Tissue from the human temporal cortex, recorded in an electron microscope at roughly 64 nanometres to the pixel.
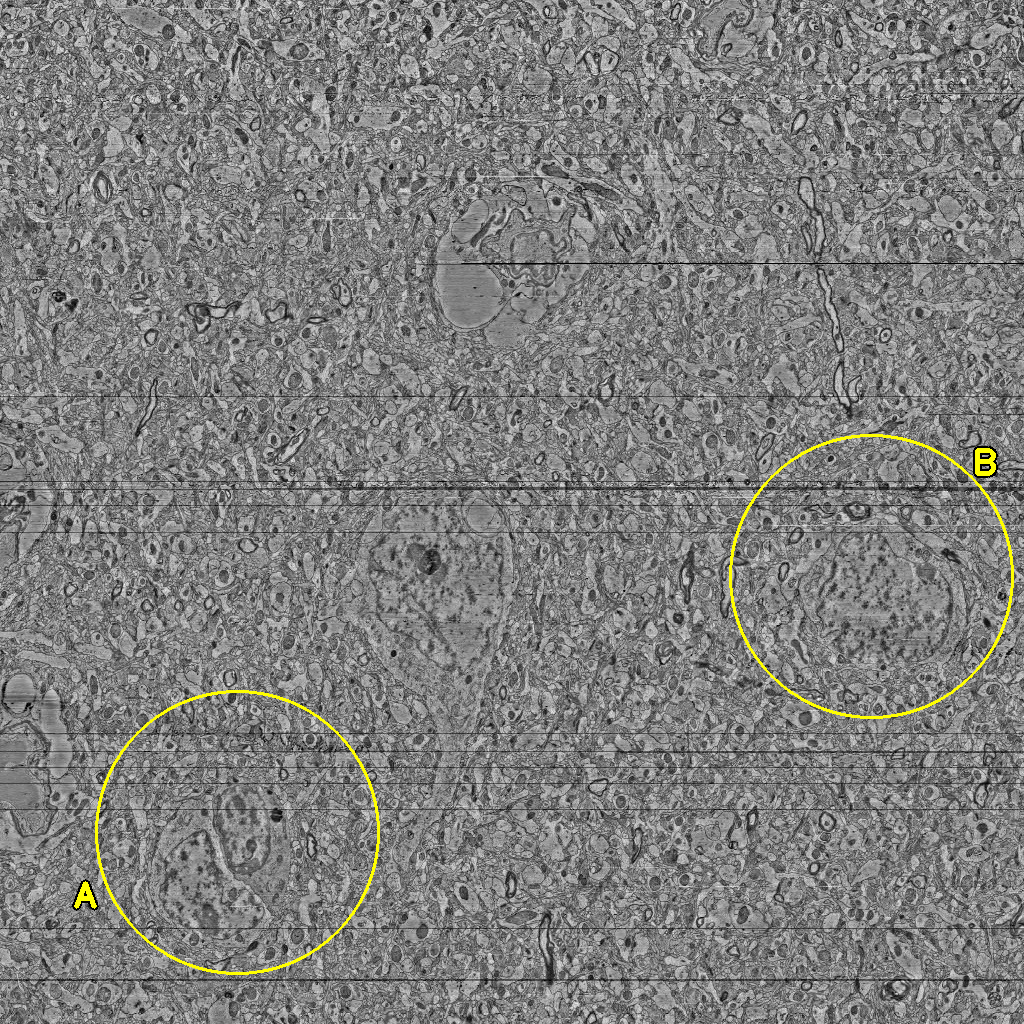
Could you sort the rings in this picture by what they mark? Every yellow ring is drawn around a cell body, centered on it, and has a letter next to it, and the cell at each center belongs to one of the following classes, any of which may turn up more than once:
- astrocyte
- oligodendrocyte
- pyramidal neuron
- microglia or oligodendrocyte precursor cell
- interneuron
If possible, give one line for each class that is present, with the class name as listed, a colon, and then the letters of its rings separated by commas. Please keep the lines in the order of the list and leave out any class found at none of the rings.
oligodendrocyte: A
interneuron: B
